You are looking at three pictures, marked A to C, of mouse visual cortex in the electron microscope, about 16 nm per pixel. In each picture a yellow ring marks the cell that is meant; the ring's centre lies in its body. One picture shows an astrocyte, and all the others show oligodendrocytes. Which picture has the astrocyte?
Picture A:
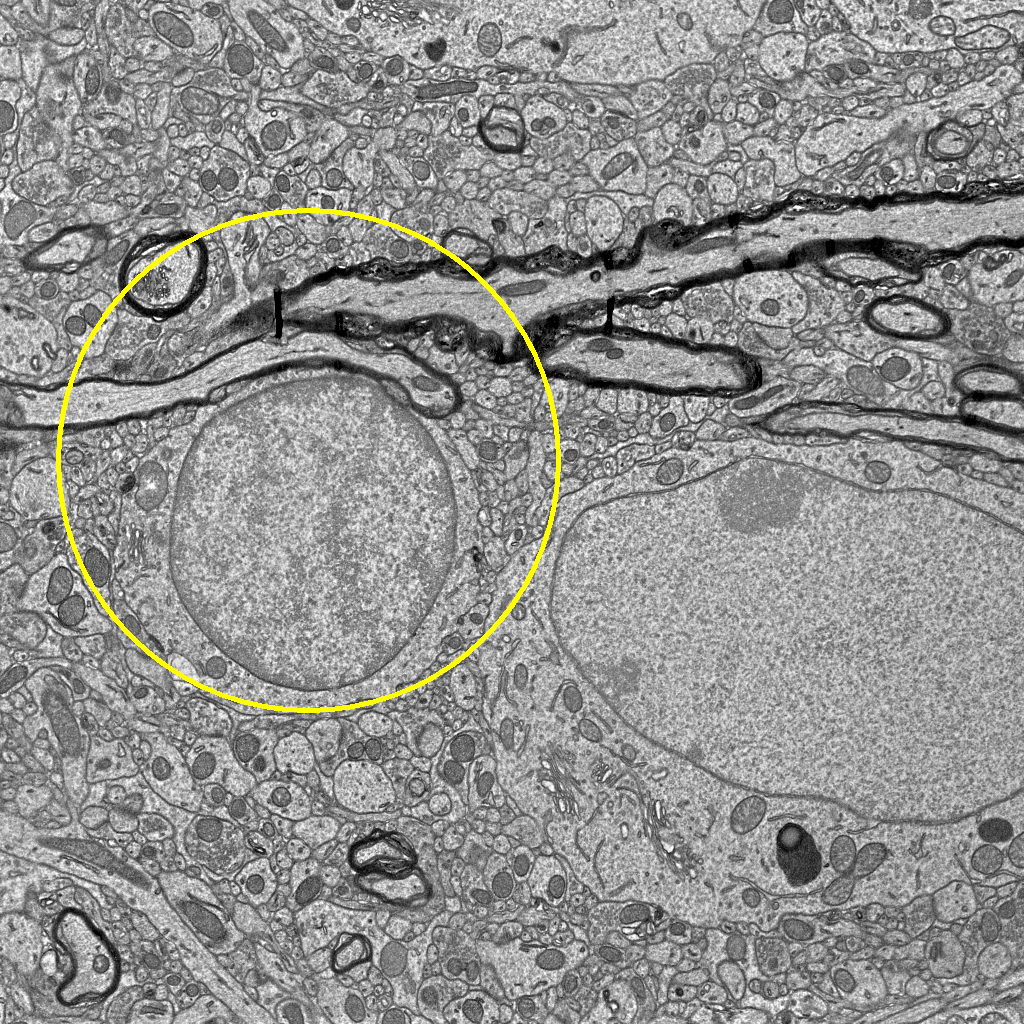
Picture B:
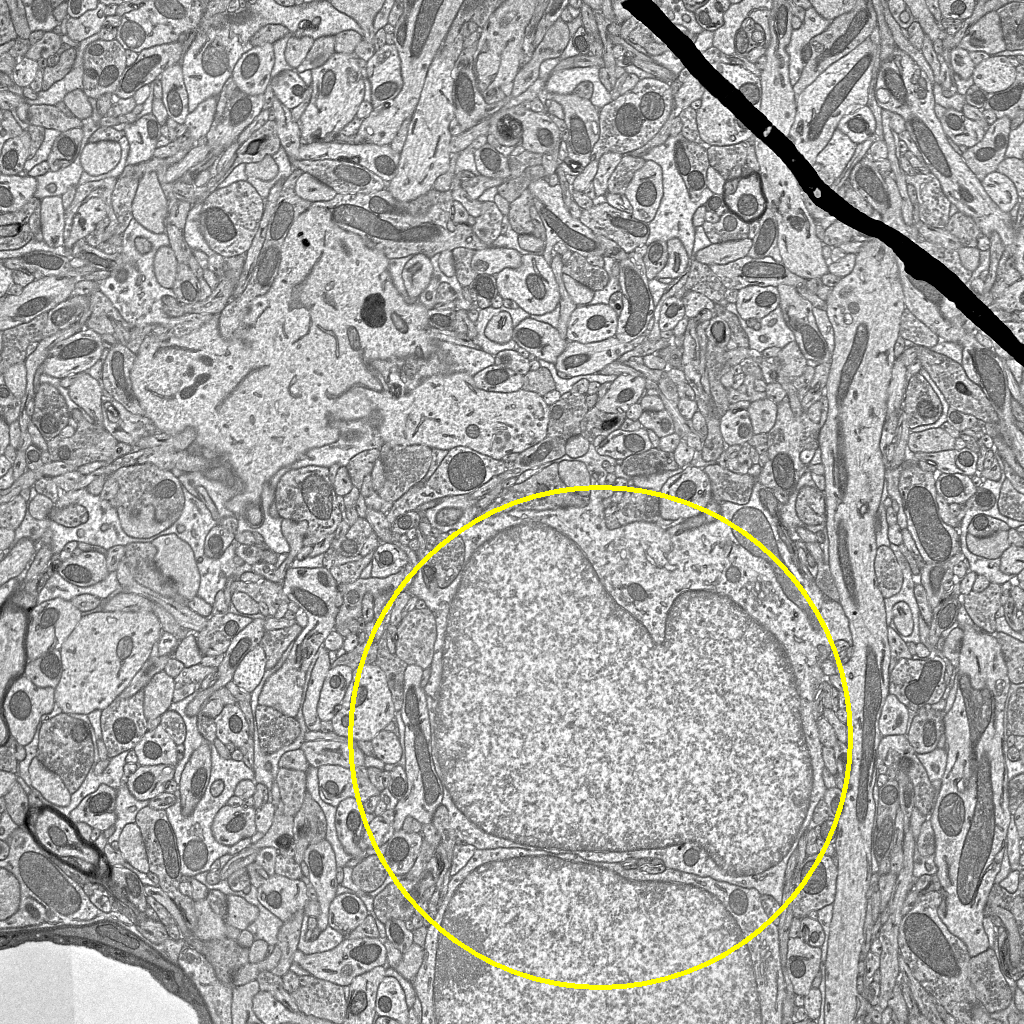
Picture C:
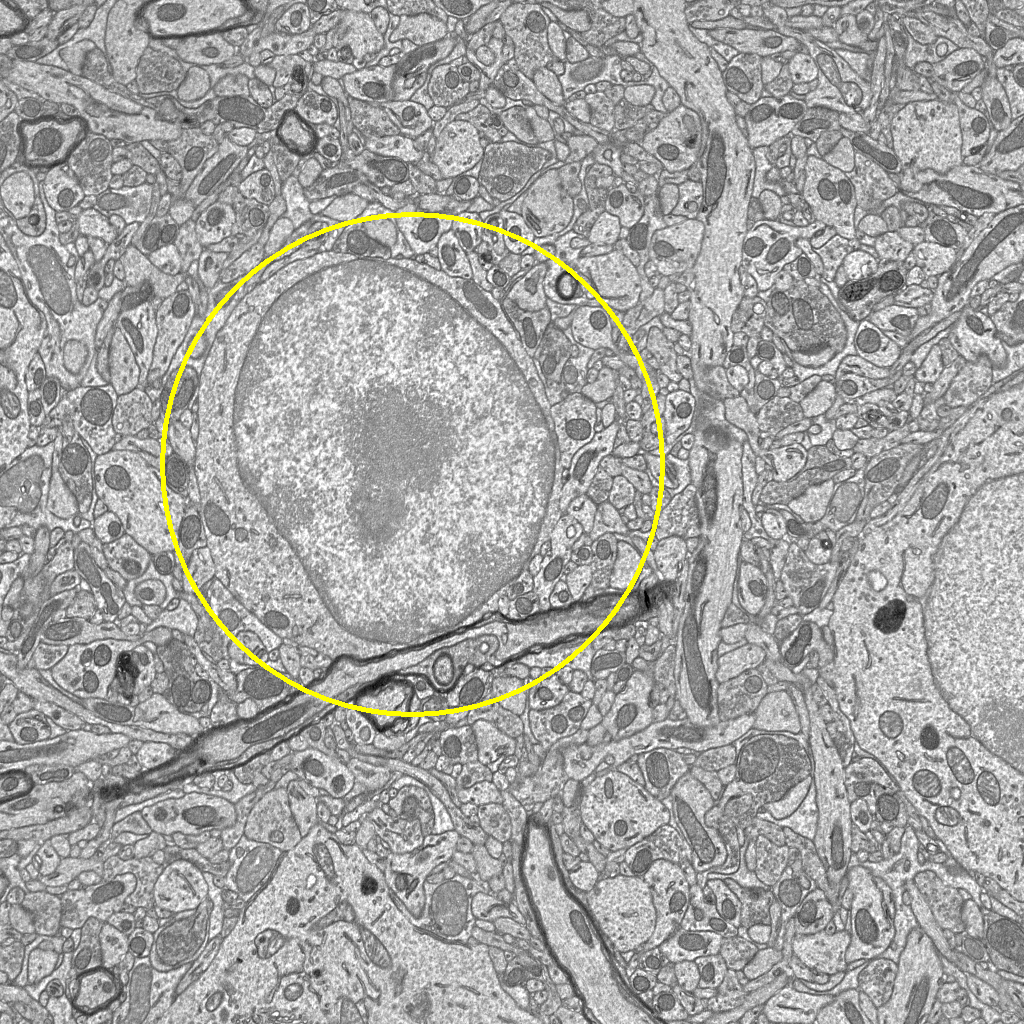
The cell in picture B is the astrocyte.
